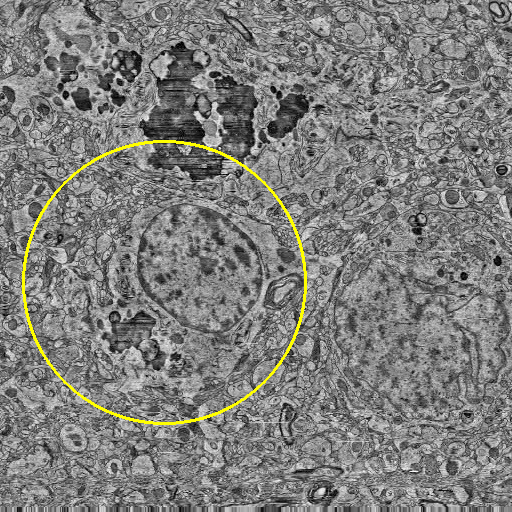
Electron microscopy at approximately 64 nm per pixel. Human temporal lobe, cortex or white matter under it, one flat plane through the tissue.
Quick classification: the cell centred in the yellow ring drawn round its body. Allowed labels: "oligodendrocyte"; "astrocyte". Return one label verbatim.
astrocyte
